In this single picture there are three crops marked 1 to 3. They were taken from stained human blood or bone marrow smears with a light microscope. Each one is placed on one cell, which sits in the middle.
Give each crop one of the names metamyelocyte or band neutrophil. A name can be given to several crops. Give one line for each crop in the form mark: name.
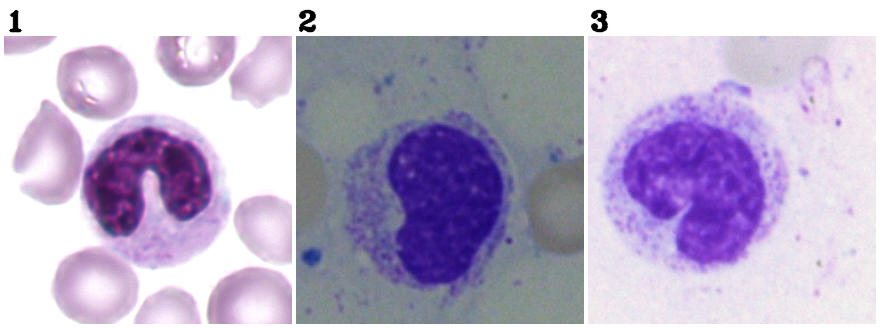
1: band neutrophil
2: metamyelocyte
3: band neutrophil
